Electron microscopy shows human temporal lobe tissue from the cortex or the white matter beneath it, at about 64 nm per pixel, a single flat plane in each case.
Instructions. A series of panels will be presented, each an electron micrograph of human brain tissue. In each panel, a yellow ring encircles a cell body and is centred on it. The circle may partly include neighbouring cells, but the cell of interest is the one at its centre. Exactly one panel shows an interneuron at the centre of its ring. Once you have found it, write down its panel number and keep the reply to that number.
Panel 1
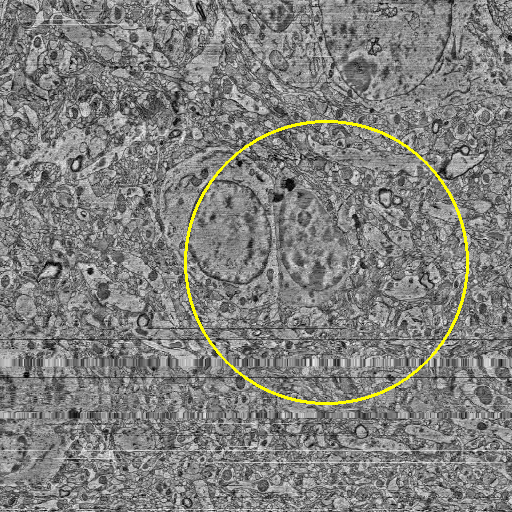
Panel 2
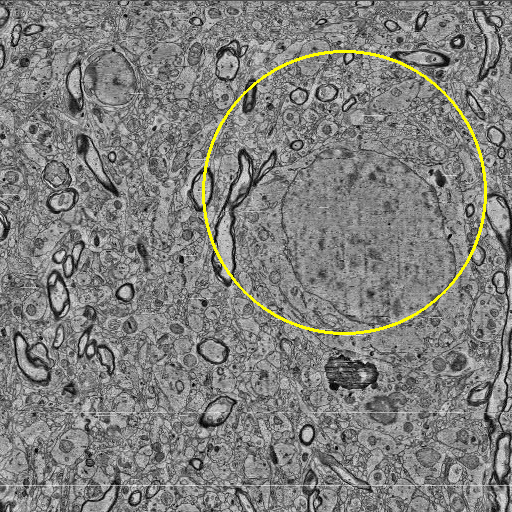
2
